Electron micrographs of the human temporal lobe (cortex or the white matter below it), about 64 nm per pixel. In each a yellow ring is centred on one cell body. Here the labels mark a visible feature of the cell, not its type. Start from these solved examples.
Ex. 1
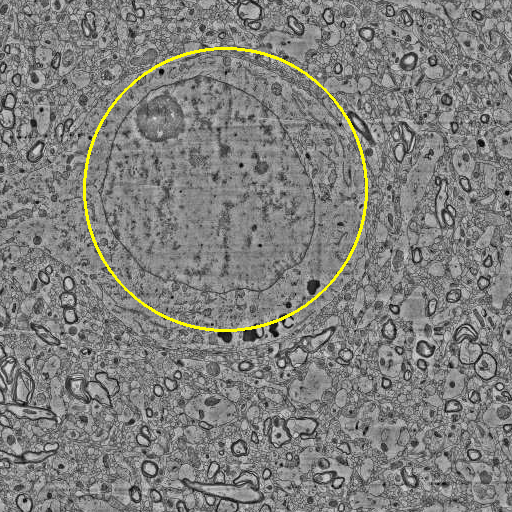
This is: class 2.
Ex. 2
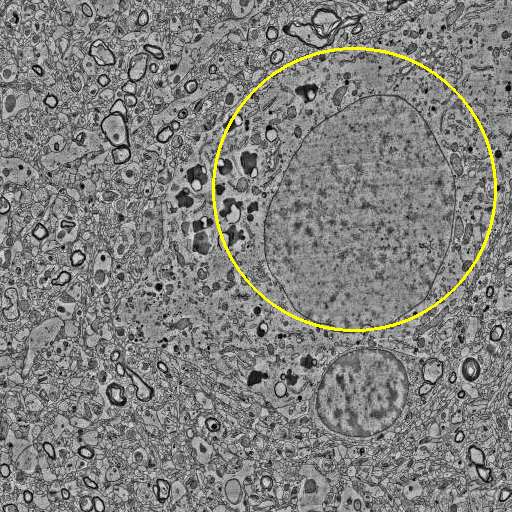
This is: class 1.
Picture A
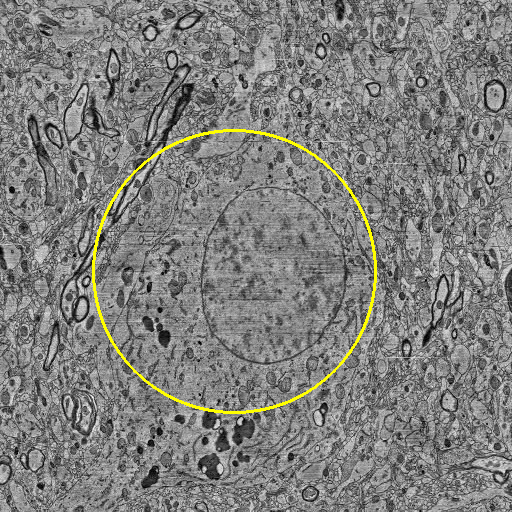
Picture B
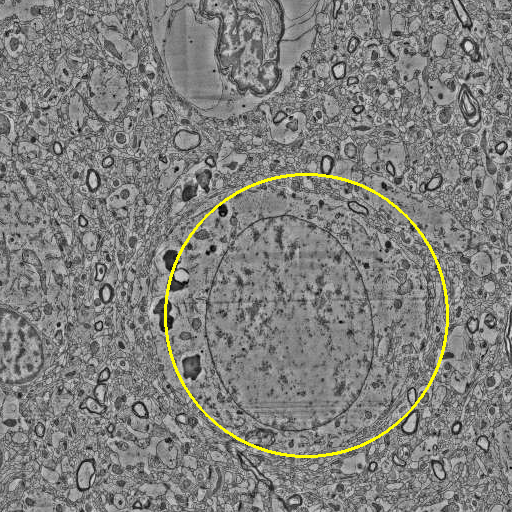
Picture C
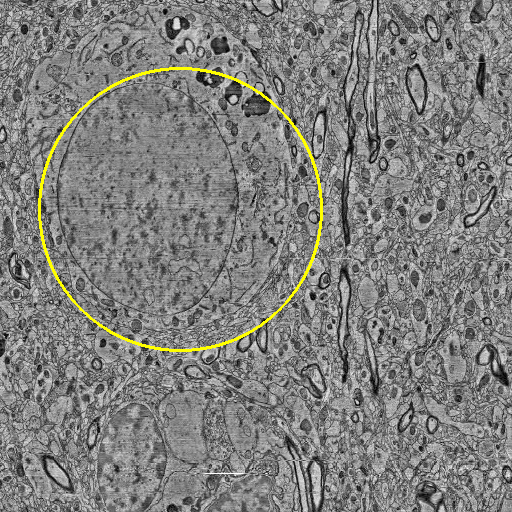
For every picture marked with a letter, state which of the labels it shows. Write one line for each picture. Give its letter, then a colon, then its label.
A: class 1.
B: class 1.
C: class 1.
